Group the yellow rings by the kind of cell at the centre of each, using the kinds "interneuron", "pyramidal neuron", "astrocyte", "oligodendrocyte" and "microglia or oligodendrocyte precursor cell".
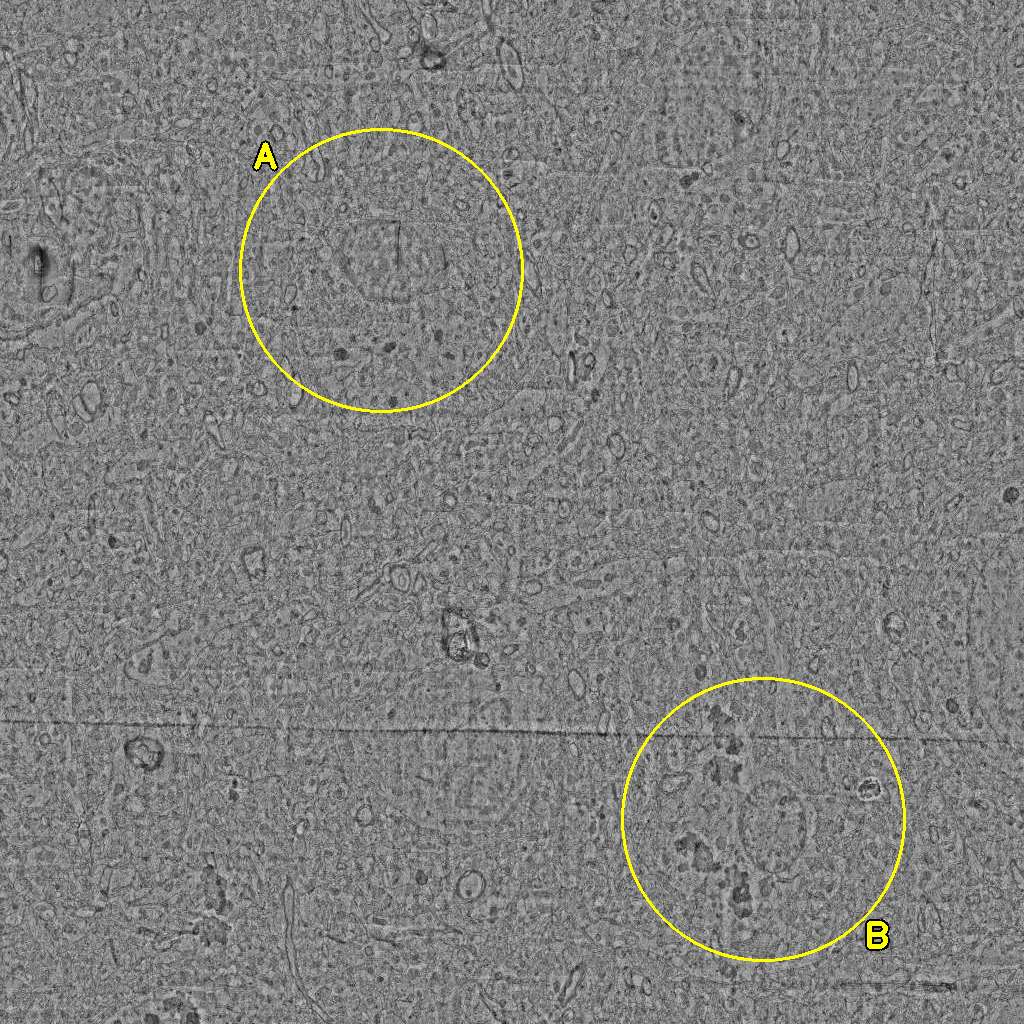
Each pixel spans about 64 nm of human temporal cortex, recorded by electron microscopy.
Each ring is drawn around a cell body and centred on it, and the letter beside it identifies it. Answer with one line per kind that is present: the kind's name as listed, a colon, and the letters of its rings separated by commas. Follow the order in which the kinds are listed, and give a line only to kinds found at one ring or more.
astrocyte: B
oligodendrocyte: A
